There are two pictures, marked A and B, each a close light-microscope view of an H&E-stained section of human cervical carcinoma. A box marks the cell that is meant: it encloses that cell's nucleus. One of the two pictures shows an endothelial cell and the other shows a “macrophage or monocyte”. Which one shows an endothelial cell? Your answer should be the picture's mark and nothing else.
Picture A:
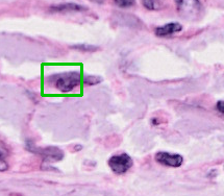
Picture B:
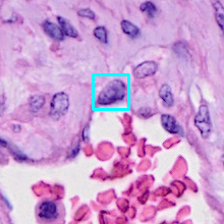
B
